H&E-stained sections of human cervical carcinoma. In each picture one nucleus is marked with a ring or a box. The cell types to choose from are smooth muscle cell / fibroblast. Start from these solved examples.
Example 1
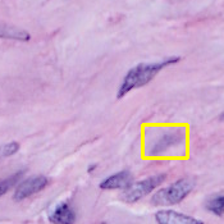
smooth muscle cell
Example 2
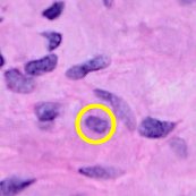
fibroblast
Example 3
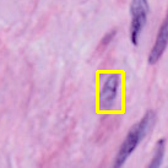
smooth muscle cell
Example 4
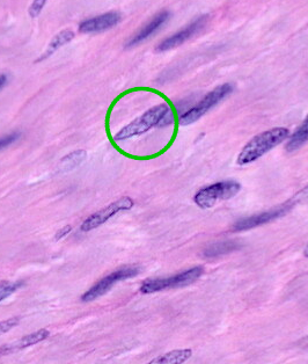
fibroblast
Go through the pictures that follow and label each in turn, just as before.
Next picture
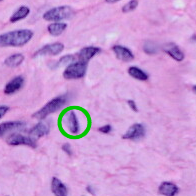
fibroblast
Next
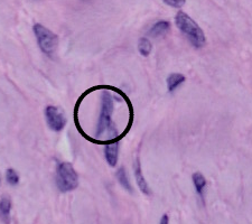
fibroblast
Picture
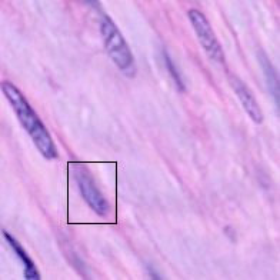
smooth muscle cell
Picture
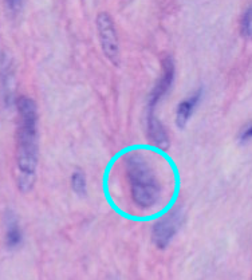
smooth muscle cell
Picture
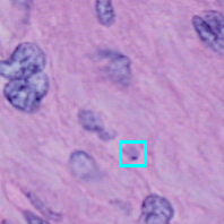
smooth muscle cell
